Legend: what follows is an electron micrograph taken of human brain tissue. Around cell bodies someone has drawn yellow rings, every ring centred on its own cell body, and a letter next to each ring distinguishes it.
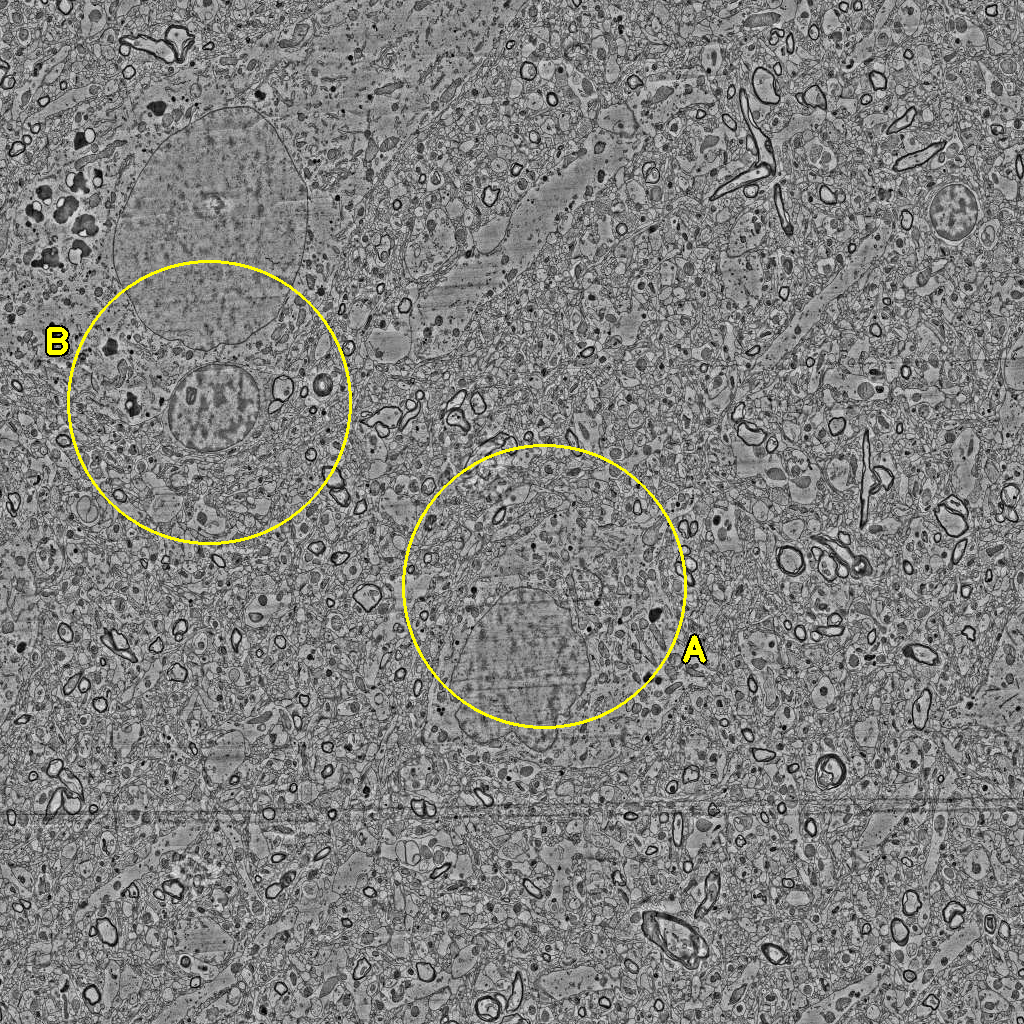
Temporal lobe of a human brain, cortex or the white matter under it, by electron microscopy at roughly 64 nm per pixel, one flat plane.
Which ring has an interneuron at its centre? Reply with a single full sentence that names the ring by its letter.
Ring A is the one centred on the cell asked for in the picture.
